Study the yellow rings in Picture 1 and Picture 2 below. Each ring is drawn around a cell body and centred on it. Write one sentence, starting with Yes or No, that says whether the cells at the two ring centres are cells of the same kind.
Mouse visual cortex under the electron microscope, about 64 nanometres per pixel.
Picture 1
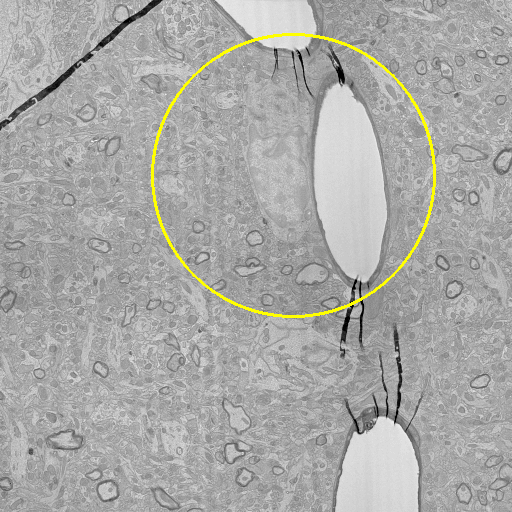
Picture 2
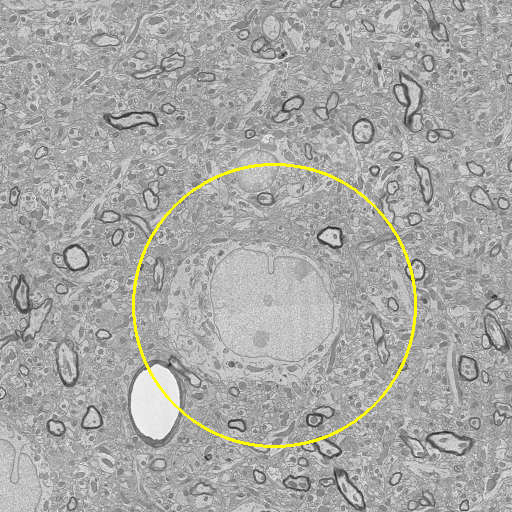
No, the cells at the ring centres are of two kinds.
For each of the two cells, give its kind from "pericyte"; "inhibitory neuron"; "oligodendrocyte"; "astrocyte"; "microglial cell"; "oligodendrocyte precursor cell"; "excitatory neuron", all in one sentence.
The first picture has an oligodendrocyte in its ring, the second has an excitatory neuron.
